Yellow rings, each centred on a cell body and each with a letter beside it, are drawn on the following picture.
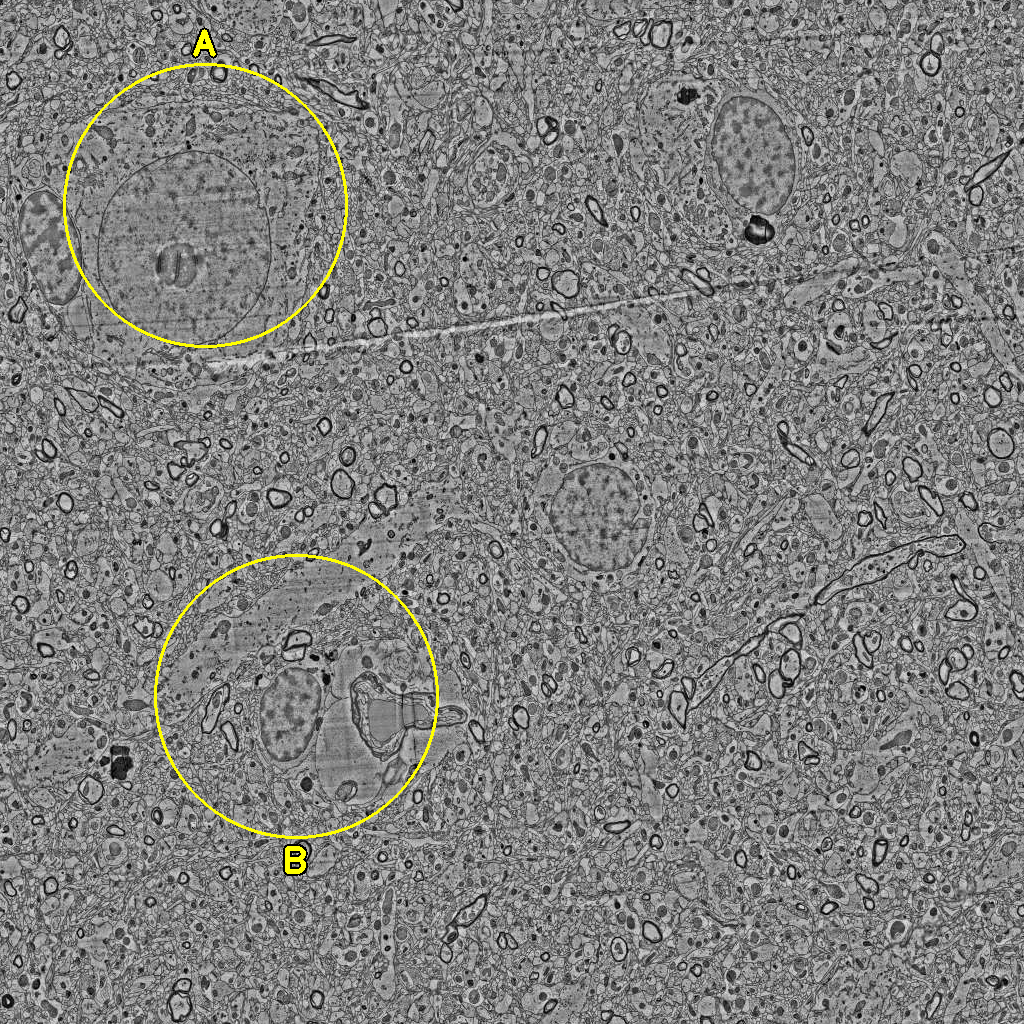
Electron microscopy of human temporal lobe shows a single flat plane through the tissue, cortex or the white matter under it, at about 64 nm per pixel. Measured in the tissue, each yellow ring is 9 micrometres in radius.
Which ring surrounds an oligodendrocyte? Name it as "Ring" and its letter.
Ring B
